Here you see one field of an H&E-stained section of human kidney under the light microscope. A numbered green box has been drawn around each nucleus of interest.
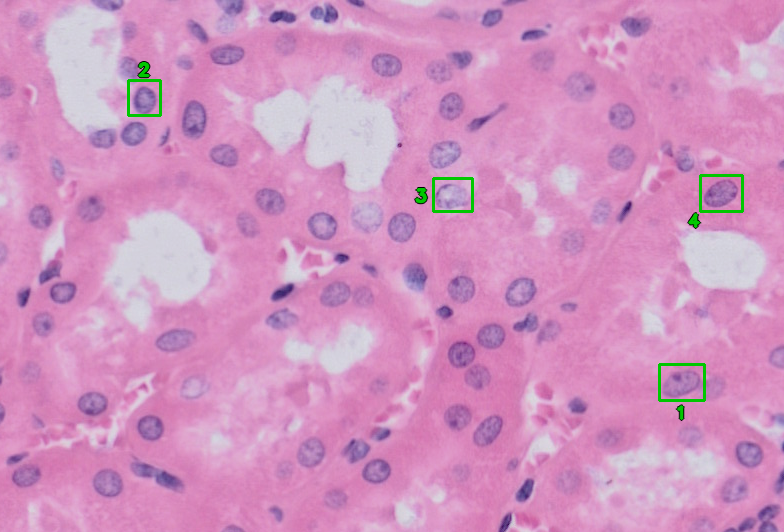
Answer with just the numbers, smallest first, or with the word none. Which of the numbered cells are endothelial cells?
none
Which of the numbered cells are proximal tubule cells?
1, 3, 4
